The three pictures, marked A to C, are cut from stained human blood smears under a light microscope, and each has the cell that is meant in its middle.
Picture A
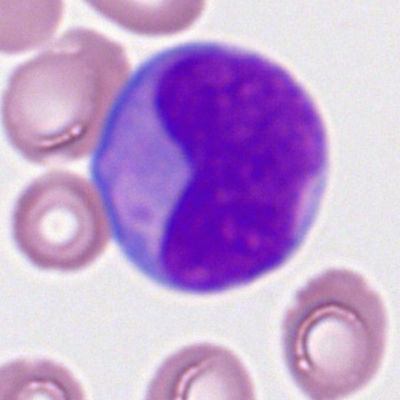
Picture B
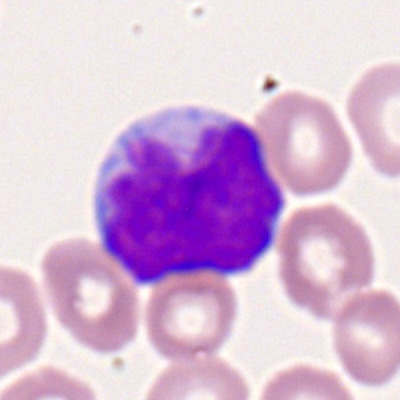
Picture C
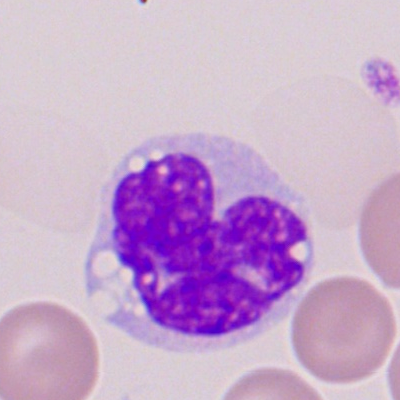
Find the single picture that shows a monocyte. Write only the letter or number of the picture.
C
